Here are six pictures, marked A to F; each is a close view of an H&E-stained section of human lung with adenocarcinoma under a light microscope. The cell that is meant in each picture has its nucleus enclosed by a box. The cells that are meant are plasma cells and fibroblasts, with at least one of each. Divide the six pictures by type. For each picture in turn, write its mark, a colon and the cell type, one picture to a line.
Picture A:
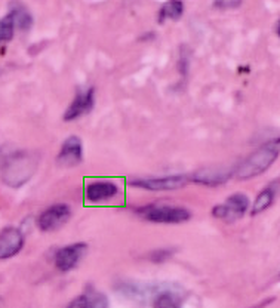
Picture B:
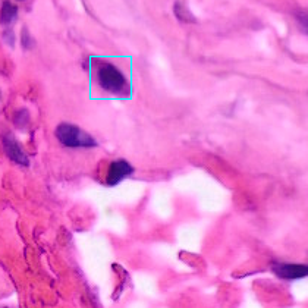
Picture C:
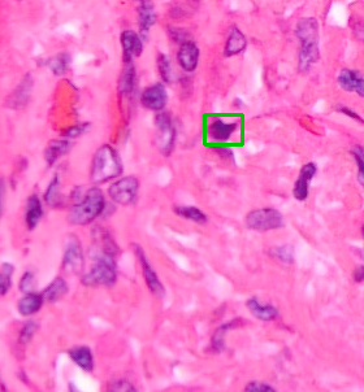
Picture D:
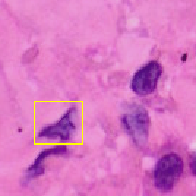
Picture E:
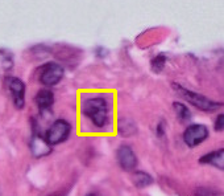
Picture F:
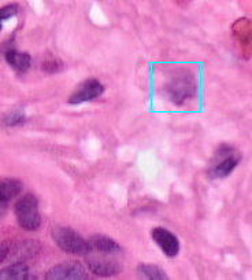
A: plasma cell
B: plasma cell
C: plasma cell
D: fibroblast
E: plasma cell
F: fibroblast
